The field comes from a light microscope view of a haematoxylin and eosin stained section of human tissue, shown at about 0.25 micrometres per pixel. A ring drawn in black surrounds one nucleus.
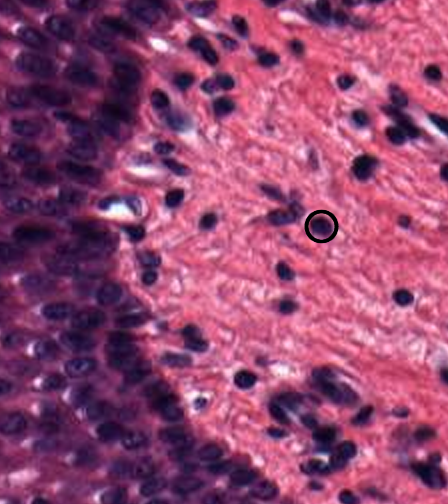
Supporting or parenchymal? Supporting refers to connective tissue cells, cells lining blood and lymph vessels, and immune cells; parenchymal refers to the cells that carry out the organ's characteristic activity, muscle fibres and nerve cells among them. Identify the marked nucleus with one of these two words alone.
supporting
